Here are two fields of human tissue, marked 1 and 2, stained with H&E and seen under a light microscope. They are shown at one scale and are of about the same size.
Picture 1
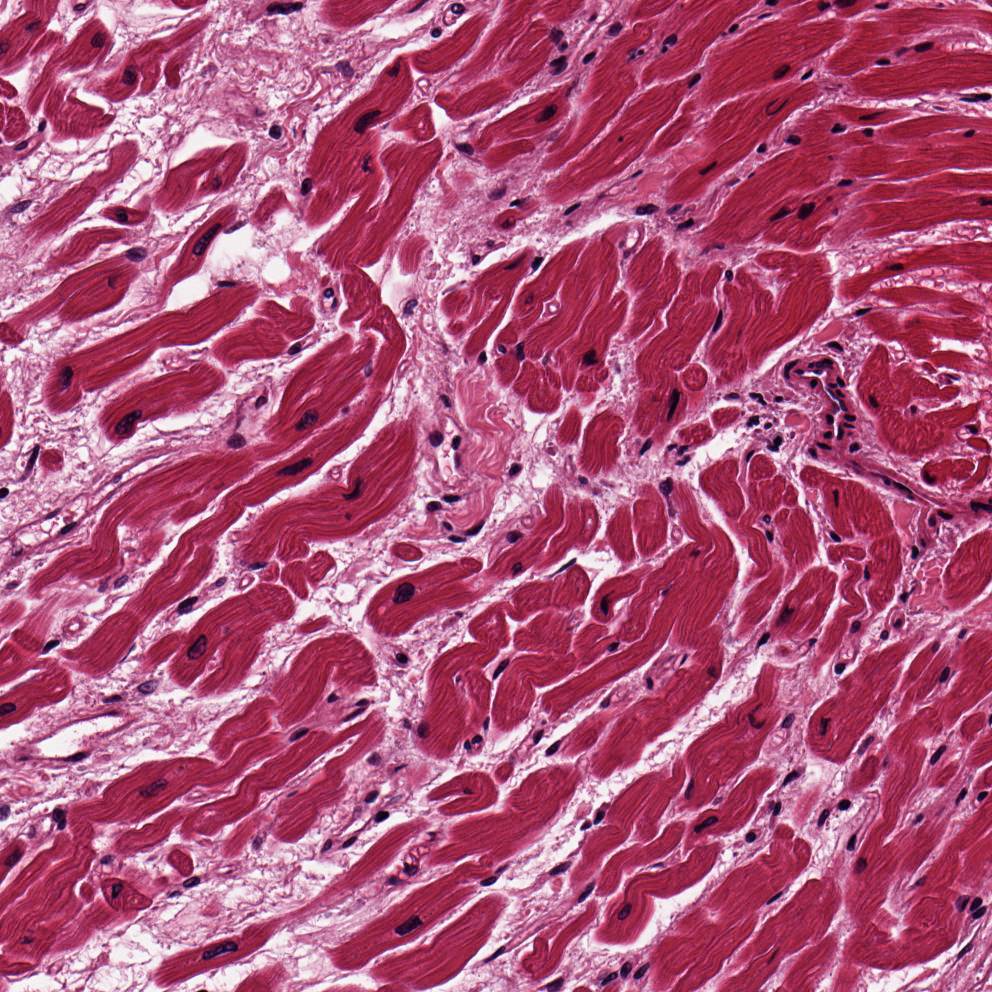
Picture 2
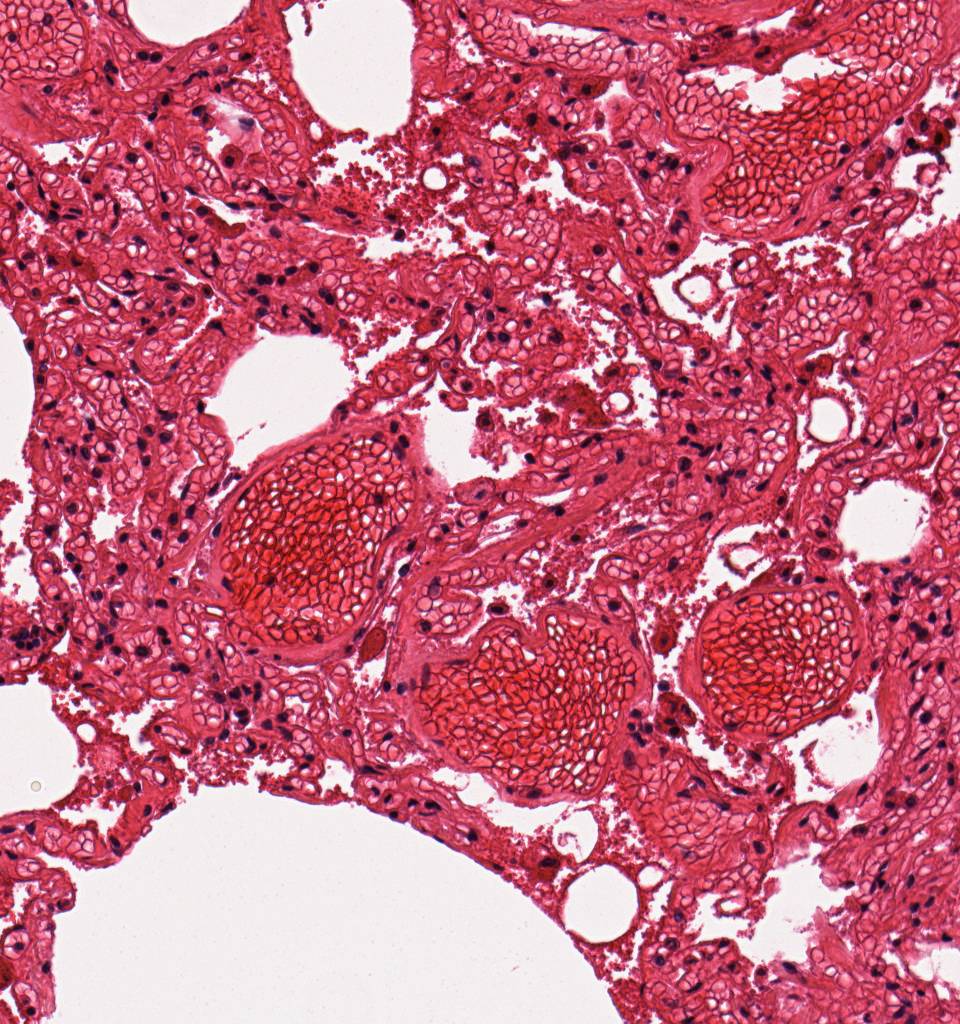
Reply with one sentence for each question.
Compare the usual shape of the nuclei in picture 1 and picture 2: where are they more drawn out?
On the whole the nuclei of picture 1 are more drawn out than those of picture 2.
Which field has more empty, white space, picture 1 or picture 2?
It is picture 2 in which white space covers the larger part.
